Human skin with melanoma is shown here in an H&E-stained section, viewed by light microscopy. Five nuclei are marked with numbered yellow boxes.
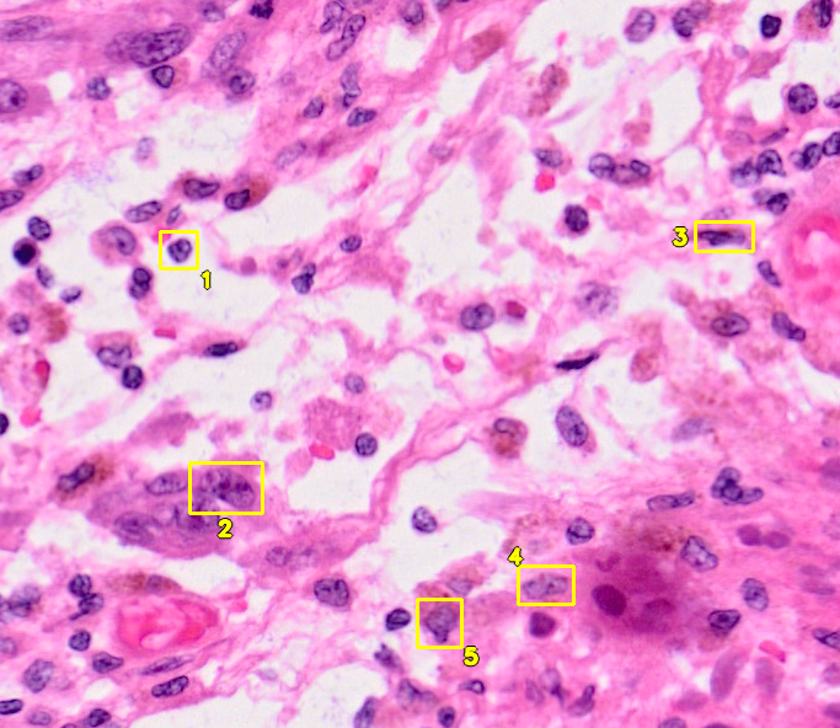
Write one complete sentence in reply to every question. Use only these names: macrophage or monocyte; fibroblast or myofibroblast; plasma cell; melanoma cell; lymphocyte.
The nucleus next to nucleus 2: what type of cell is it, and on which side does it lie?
Lying below and to the left of nucleus 2, the nearest nucleus is that of a melanoma cell.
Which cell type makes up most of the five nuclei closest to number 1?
Macrophages or monocytes account for more than half of the five nuclei nearest to number 1.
